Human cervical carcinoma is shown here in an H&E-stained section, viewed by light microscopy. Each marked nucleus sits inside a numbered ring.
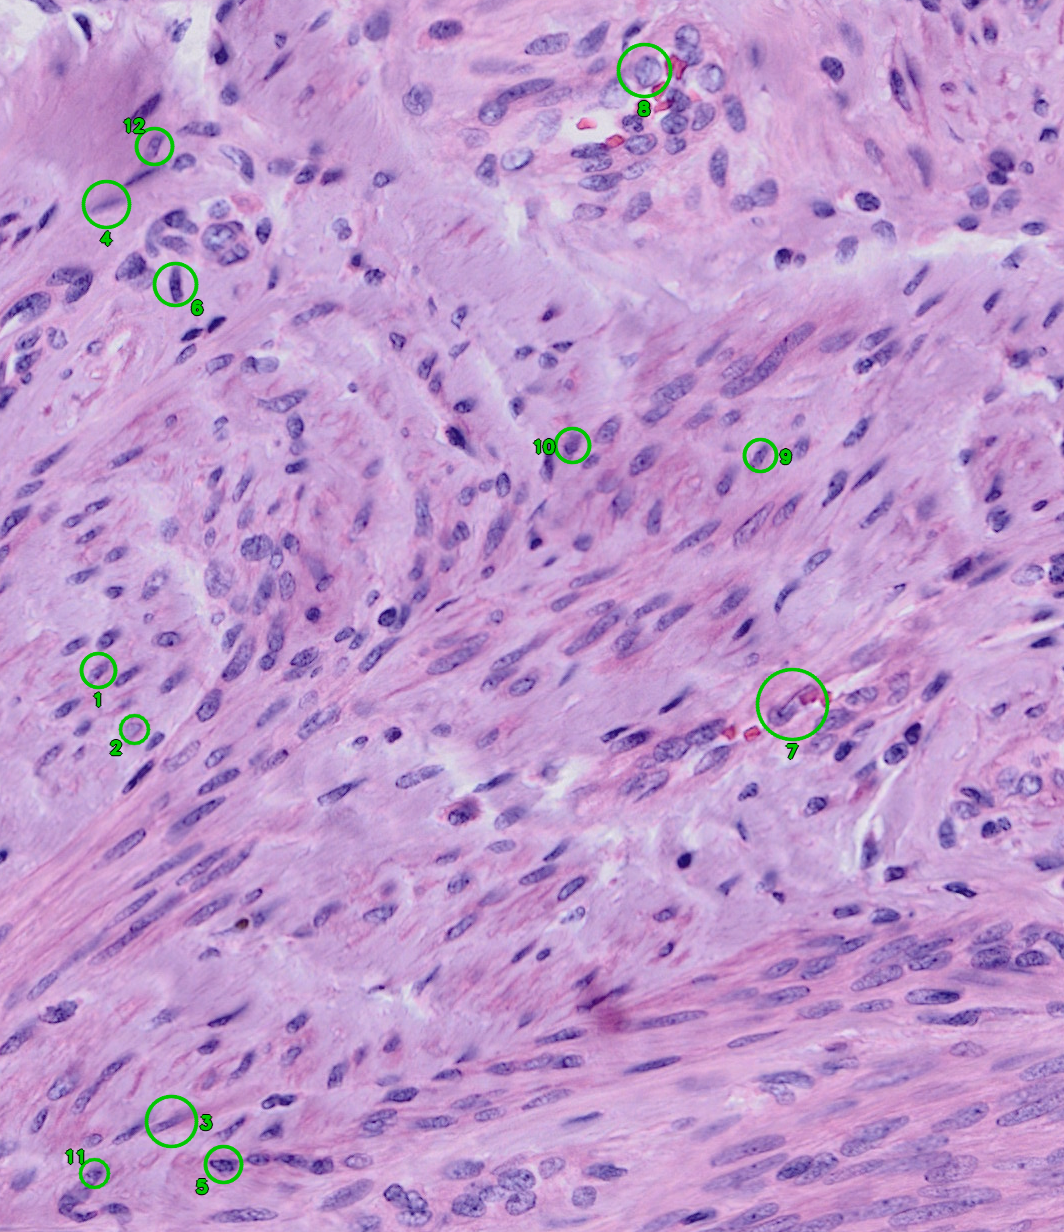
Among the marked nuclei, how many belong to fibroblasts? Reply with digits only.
3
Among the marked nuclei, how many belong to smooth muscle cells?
7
